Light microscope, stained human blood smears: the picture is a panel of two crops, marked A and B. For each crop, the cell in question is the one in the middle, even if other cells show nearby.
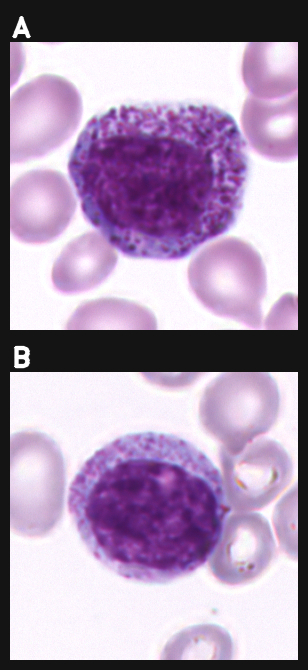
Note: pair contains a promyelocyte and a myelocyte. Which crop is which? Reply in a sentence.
Crop A is labelled a promyelocyte, and crop B is labelled a myelocyte.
